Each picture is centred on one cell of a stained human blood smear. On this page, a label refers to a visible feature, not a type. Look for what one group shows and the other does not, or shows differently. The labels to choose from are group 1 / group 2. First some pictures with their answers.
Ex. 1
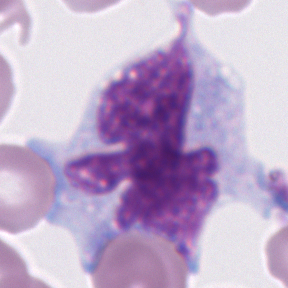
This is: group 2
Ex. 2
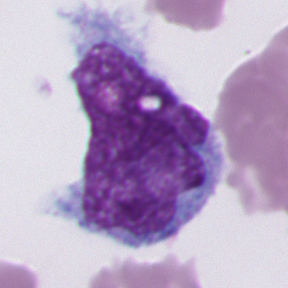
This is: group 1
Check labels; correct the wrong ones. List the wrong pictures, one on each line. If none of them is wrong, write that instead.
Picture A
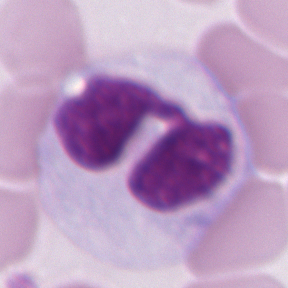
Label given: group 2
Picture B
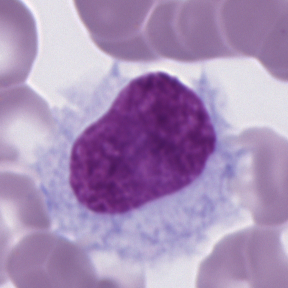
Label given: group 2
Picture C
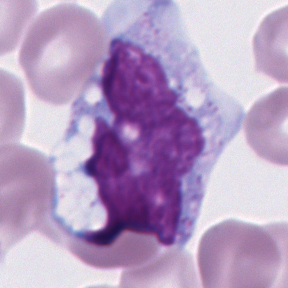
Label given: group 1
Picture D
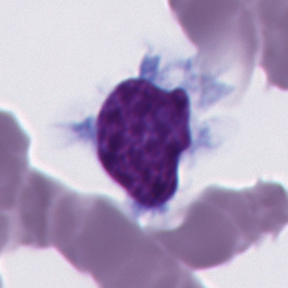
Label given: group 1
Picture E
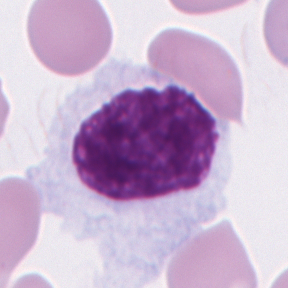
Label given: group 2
C: not group 1 but group 2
